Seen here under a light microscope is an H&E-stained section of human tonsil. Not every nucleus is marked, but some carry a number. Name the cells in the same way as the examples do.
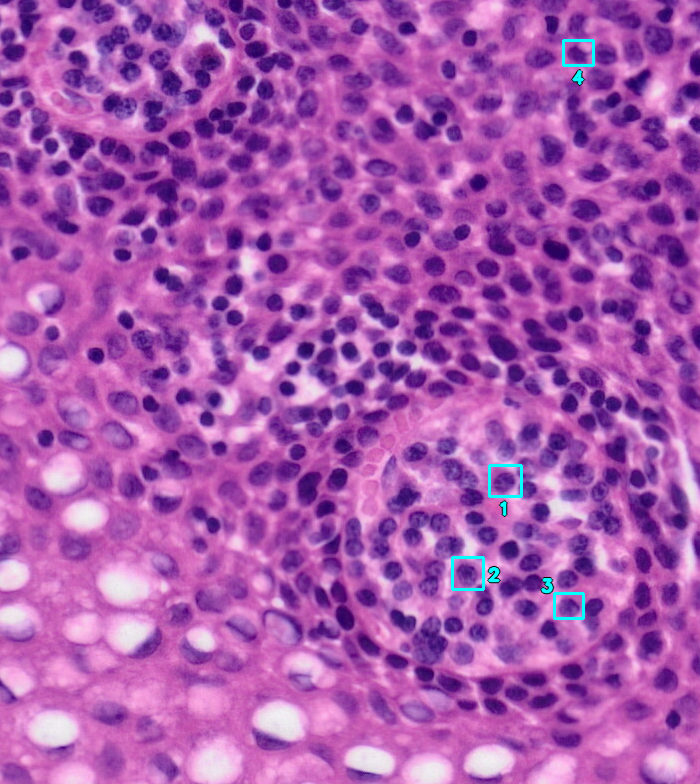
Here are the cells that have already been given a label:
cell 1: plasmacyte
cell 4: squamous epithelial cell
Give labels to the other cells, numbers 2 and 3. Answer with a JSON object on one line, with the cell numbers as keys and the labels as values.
{"2": "plasmacyte", "3": "plasmacyte"}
